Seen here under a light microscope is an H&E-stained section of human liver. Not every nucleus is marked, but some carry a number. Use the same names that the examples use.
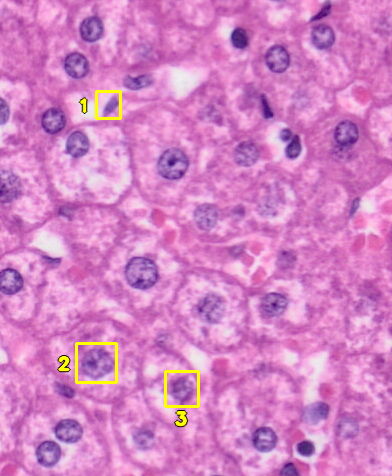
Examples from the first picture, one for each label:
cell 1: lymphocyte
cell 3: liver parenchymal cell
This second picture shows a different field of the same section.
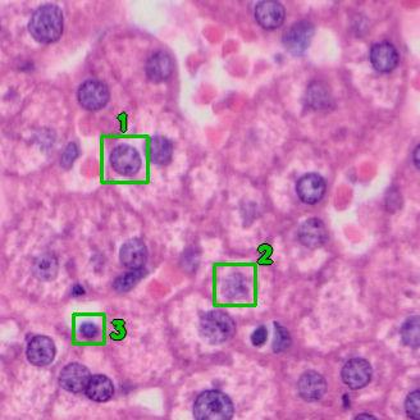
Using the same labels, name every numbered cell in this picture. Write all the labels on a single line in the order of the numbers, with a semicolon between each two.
liver parenchymal cell; liver parenchymal cell; lymphocyte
